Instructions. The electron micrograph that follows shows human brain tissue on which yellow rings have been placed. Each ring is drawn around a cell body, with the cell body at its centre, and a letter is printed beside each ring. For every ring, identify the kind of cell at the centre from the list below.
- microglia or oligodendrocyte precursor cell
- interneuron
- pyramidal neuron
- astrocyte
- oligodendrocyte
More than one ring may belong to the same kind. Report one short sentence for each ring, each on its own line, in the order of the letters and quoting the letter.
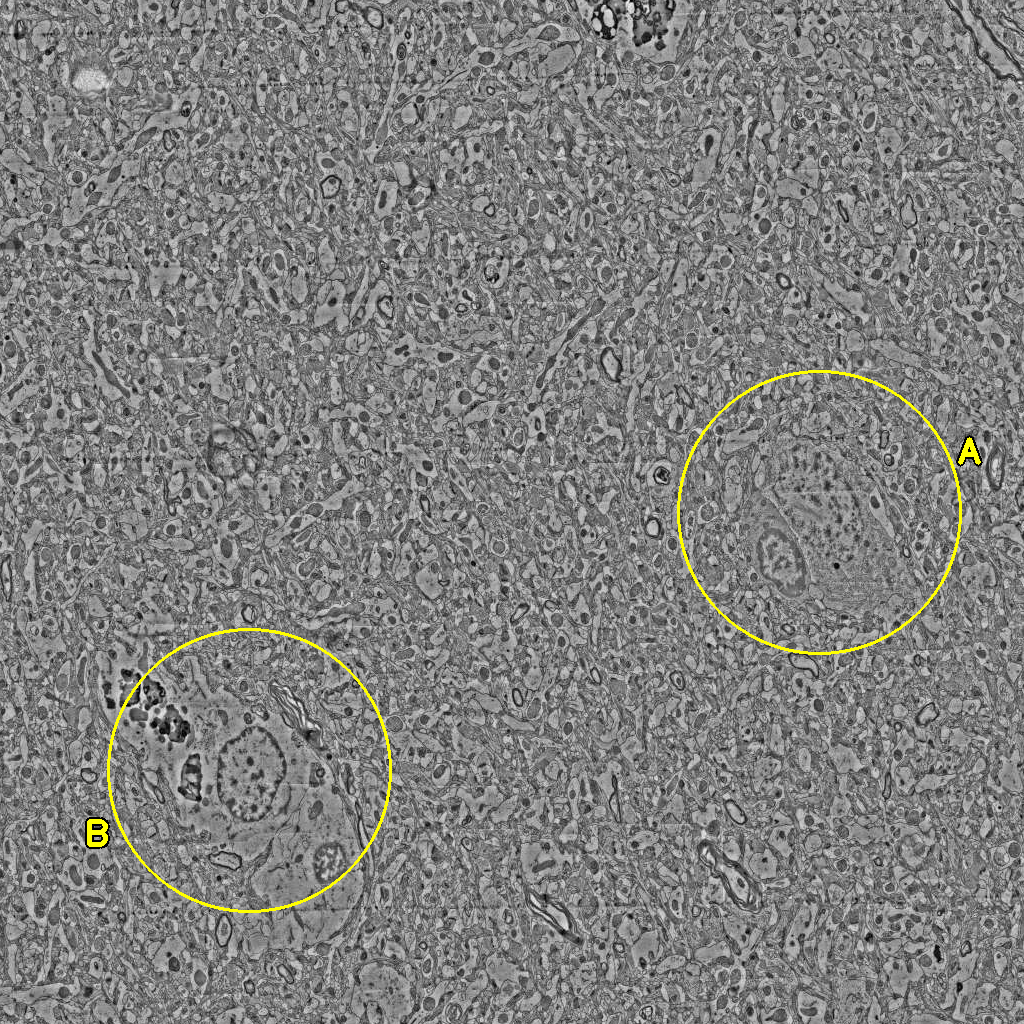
The centre of ring A is occupied by an interneuron.
The centre of ring B is occupied by an astrocyte.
